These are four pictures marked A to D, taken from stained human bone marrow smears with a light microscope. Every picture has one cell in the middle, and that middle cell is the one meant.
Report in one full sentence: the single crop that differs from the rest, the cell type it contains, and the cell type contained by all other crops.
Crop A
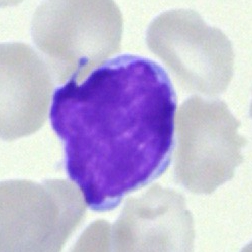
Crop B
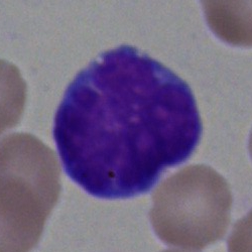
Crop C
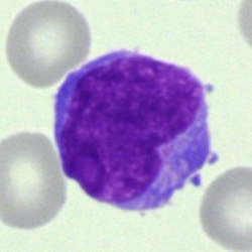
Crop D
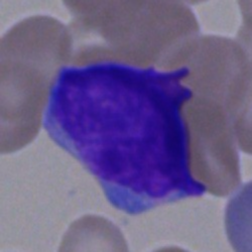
Every crop but one shows blasts; the exception, crop A, shows a lymphocyte.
